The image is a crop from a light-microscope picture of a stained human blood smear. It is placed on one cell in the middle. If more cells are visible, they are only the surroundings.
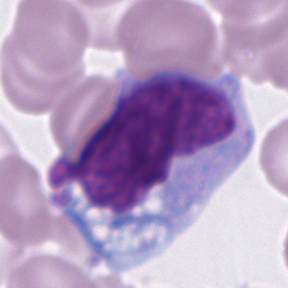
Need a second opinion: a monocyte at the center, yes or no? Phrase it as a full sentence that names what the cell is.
Yes, the cell at the midpoint of the crop is a monocyte.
